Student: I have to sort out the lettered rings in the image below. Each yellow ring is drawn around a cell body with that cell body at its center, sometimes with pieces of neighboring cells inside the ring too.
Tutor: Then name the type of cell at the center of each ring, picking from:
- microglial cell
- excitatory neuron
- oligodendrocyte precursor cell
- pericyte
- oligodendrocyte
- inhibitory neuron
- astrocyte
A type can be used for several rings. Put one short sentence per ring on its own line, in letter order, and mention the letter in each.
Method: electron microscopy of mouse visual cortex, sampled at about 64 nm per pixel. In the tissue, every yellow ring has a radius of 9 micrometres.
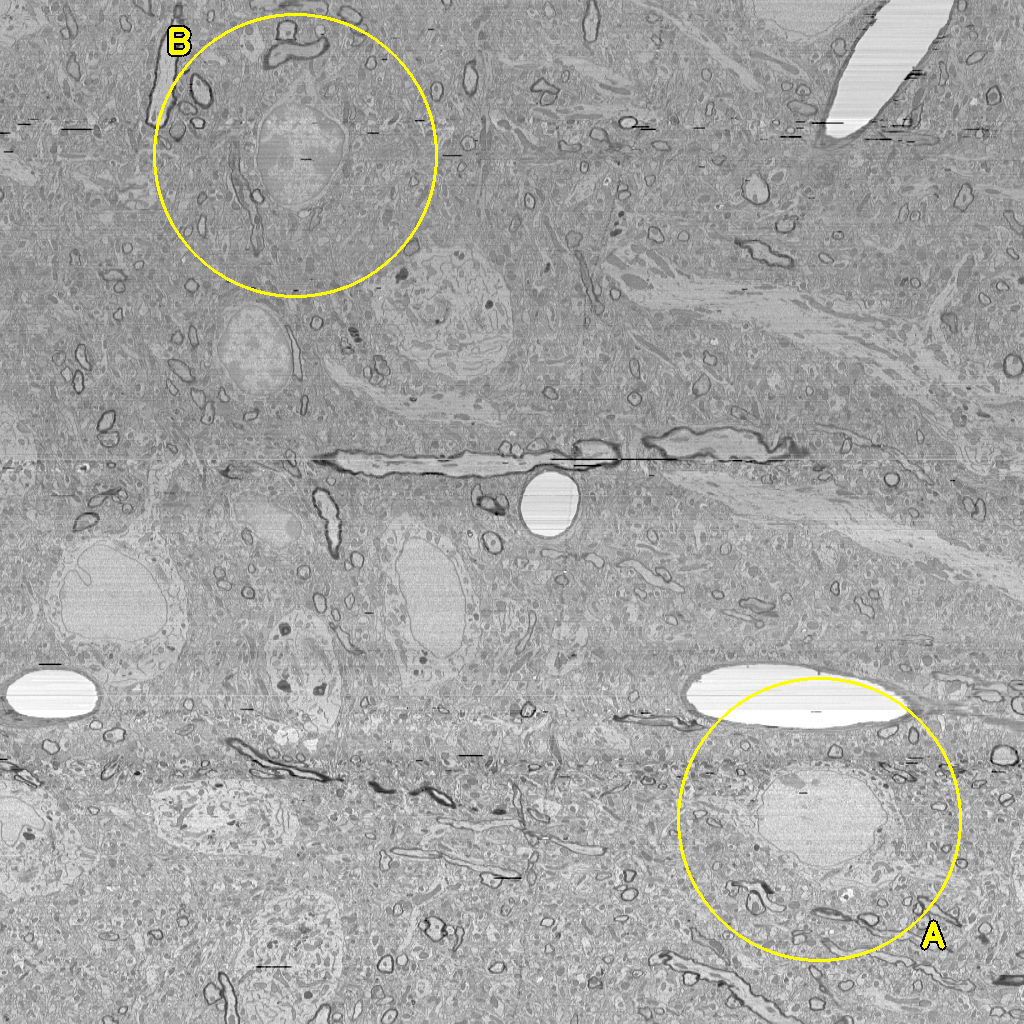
Inside ring A, at its center, is an excitatory neuron.
Inside ring B, at its center, is an oligodendrocyte.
